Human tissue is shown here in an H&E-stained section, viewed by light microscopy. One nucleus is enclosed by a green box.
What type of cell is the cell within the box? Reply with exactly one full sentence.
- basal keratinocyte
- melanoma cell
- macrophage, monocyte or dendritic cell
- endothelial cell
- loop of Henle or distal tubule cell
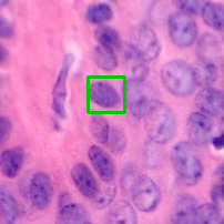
The category to which the cell within the box belongs is that of a basal keratinocyte.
